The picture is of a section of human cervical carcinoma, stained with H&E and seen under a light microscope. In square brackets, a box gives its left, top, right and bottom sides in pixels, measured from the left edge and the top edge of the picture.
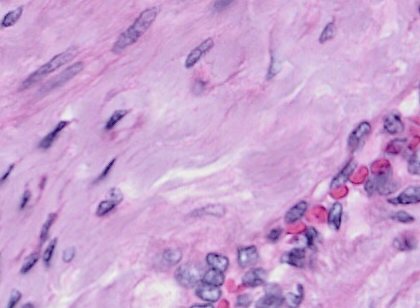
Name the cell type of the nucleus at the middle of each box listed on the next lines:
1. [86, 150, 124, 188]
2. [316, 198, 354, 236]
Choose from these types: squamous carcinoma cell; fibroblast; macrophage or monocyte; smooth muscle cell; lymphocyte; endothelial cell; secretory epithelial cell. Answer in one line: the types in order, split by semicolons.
fibroblast; endothelial cell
